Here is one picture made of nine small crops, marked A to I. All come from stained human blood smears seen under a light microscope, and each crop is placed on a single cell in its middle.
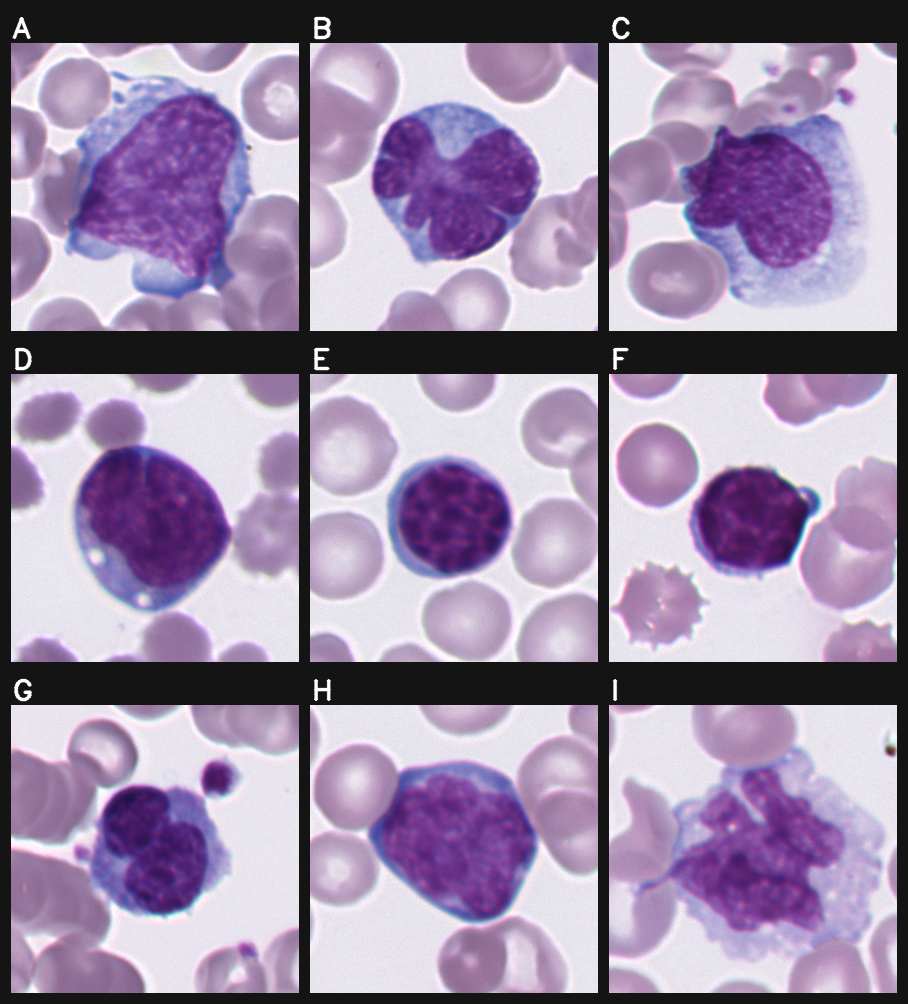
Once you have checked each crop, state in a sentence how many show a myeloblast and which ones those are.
Crops showing myeloblasts are A, B and H, so three altogether.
